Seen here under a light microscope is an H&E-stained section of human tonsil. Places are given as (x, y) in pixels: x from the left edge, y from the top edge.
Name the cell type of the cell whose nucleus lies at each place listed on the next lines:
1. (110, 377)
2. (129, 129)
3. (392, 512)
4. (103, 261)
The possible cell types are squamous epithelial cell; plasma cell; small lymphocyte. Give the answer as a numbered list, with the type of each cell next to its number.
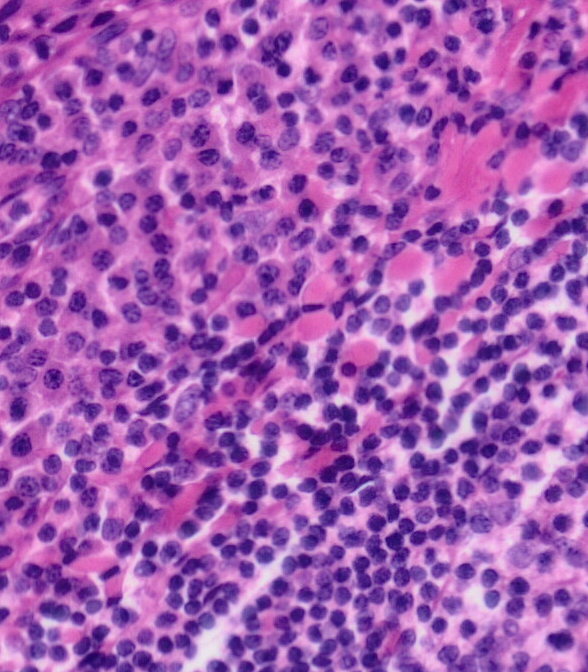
1. plasma cell
2. plasma cell
3. small lymphocyte
4. plasma cell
